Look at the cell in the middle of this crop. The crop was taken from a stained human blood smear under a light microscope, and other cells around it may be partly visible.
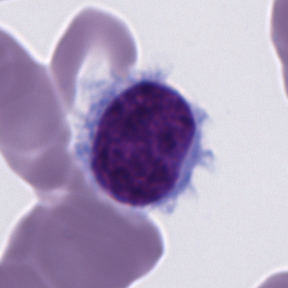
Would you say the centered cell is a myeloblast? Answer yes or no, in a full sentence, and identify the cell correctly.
No, the central cell is classed as a hairy cell, not a myeloblast.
